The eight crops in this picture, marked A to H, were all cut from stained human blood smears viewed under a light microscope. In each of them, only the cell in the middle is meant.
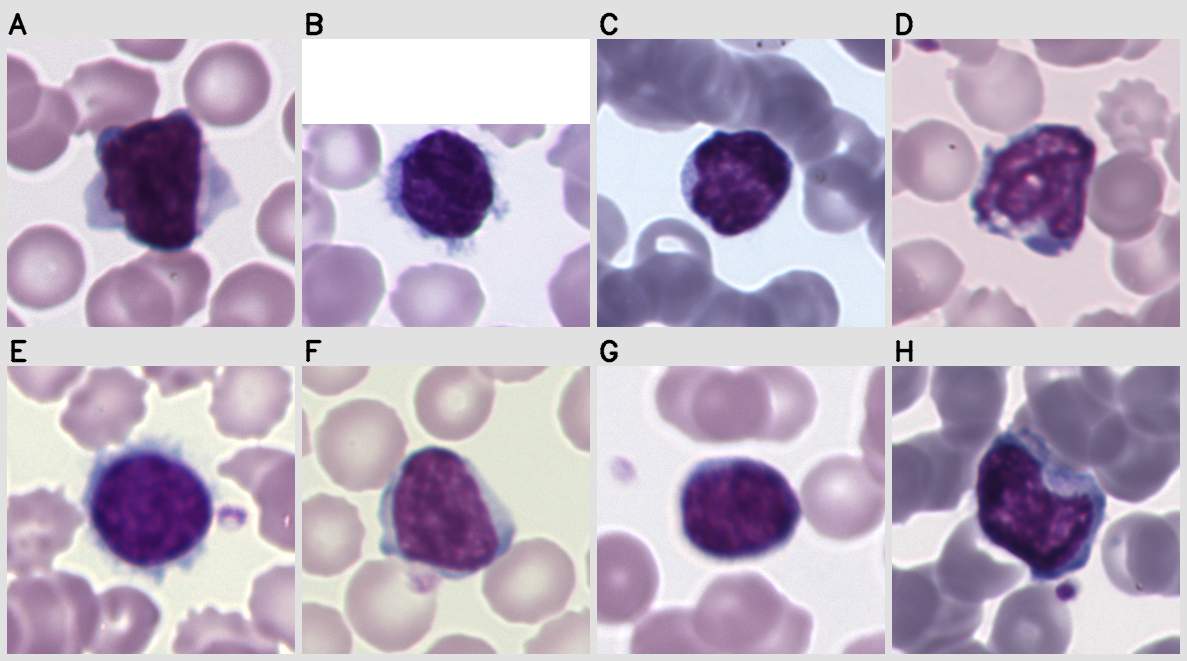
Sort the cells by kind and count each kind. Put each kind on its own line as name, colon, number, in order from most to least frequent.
typical lymphocyte: 6
hairy cell: 2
